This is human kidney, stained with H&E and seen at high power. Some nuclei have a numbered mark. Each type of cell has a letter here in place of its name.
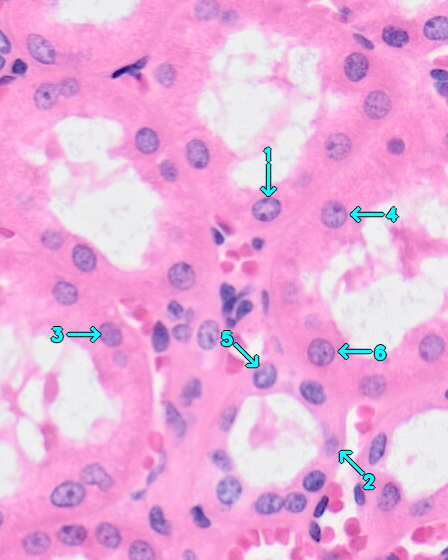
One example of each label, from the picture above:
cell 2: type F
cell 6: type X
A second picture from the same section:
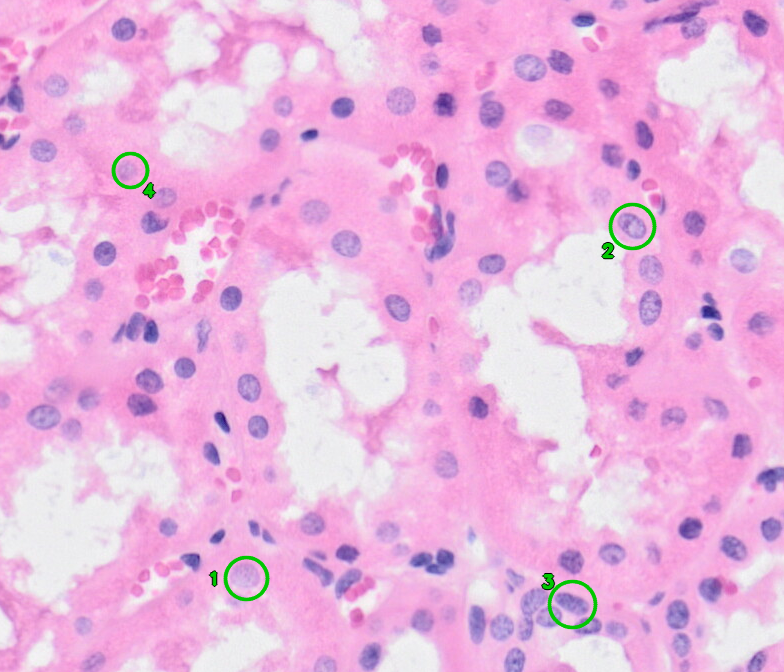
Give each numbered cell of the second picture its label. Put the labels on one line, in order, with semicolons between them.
type X; type X; type F; type X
